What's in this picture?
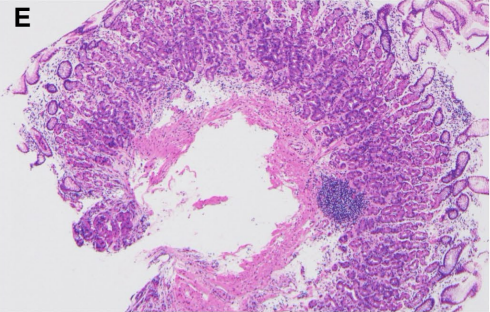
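This is gastric corpus mucosa without atrophy, with a full layer of tightly packed glands. Short pits lined by pale columnar cells open at the surface. Beneath them, long glands made of cells with pink to purple cytoplasm fill most of the mucosal thickness with little stroma between them. A dense round cluster of small dark lymphocytes lies among the glands. A pale, loosely textured pink band of submucosa is seen in the middle of the fragment.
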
